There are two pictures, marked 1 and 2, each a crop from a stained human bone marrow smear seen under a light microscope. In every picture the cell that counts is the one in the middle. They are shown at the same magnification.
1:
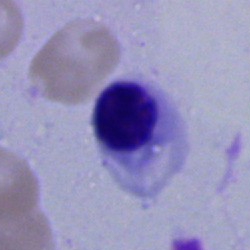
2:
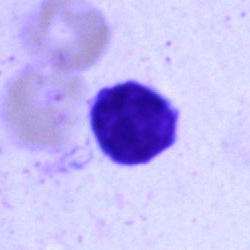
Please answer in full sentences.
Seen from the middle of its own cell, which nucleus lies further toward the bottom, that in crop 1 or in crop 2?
In crop 2 the nucleus is shifted more toward the bottom.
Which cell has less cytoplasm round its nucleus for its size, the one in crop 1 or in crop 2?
In crop 2 the nucleus takes up the larger part of its cell.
